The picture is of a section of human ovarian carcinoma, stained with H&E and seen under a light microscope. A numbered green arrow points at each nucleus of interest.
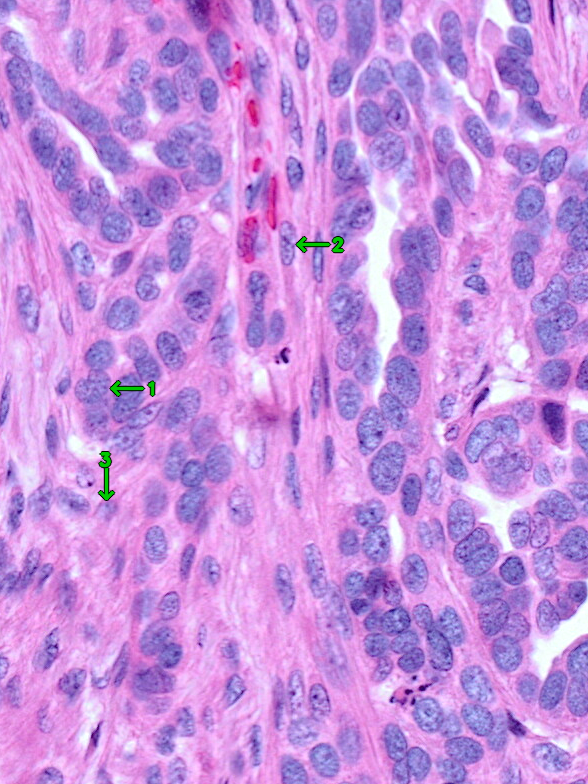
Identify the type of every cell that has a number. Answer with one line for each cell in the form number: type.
1: carcinoma cell
2: fibroblast
3: fibroblast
